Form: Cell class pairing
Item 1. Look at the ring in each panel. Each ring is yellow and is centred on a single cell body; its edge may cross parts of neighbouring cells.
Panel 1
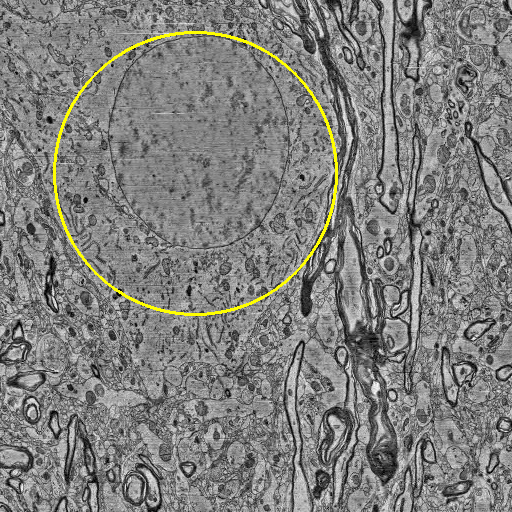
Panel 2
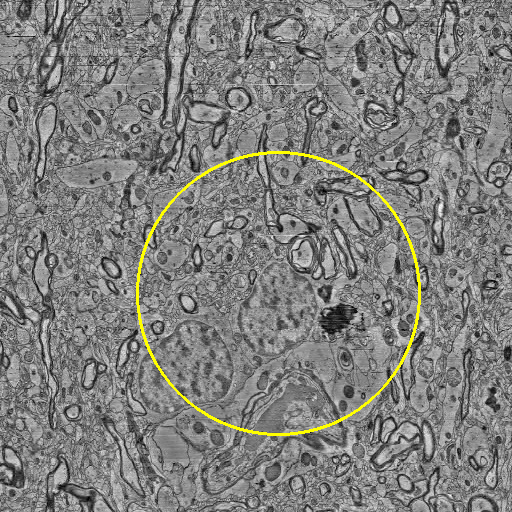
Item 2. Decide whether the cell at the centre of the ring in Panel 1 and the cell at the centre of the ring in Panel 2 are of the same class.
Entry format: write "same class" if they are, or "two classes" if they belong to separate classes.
two classes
